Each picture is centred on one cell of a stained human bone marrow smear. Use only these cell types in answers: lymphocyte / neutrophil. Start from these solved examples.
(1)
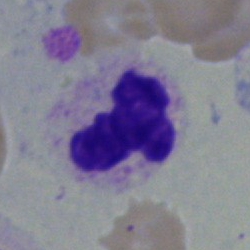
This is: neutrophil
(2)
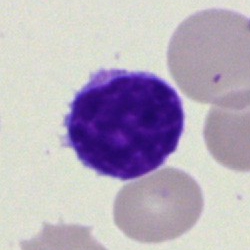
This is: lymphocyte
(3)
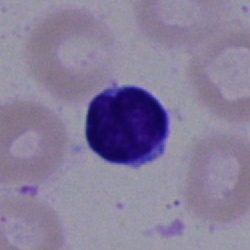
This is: lymphocyte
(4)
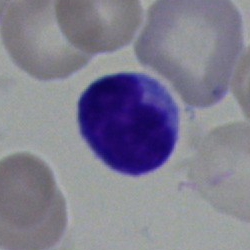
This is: lymphocyte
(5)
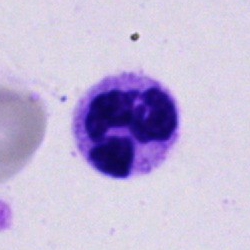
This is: neutrophil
